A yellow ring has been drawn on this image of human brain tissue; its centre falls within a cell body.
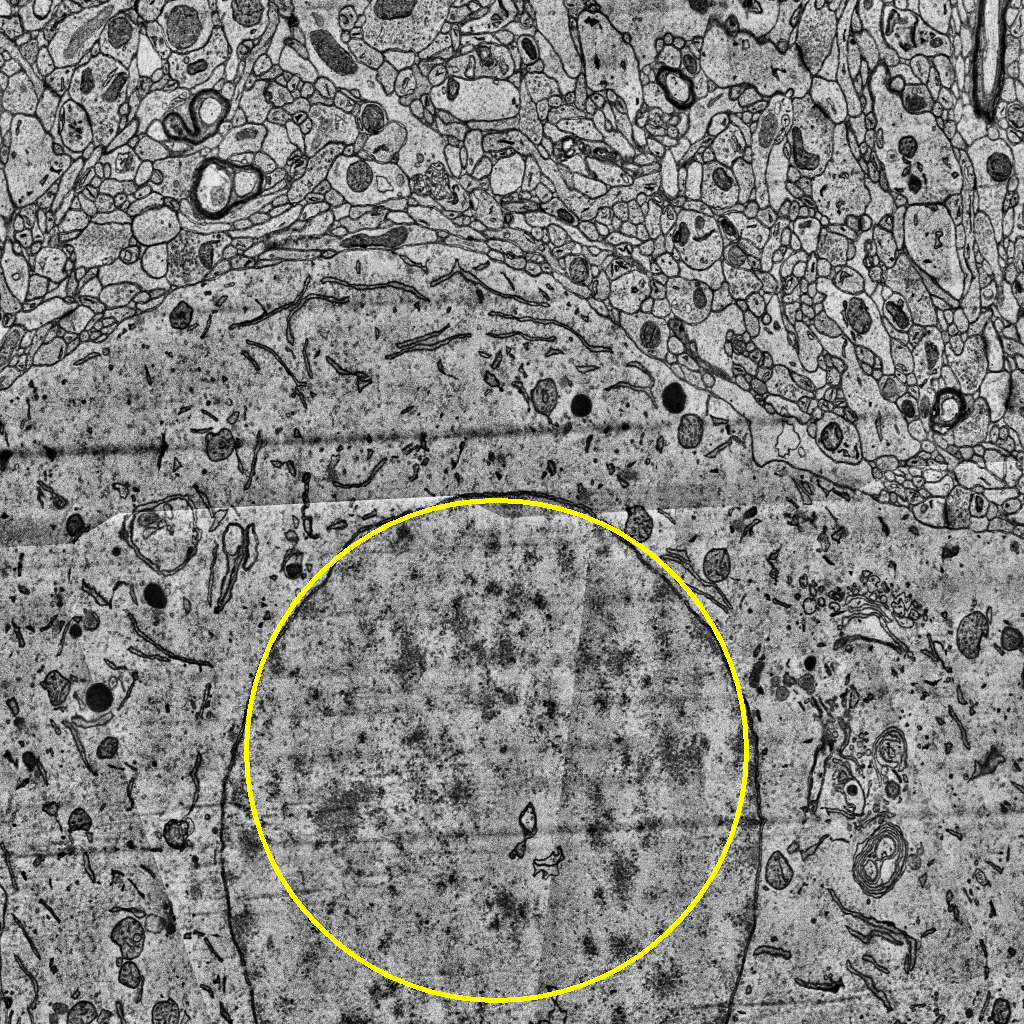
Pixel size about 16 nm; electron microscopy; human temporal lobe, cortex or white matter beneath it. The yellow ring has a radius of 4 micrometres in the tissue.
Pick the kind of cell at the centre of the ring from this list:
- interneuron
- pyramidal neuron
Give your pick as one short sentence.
The centre of the ring holds a pyramidal neuron.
